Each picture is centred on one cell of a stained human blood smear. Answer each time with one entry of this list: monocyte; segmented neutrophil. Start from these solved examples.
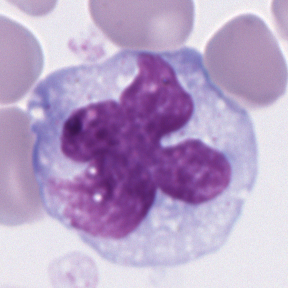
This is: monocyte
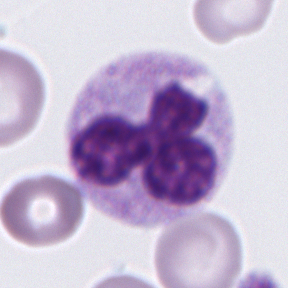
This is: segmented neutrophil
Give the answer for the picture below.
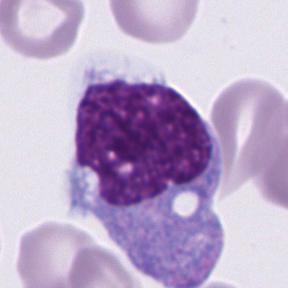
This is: monocyte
